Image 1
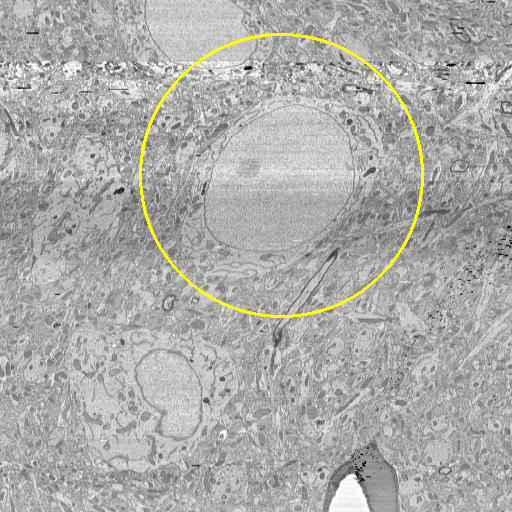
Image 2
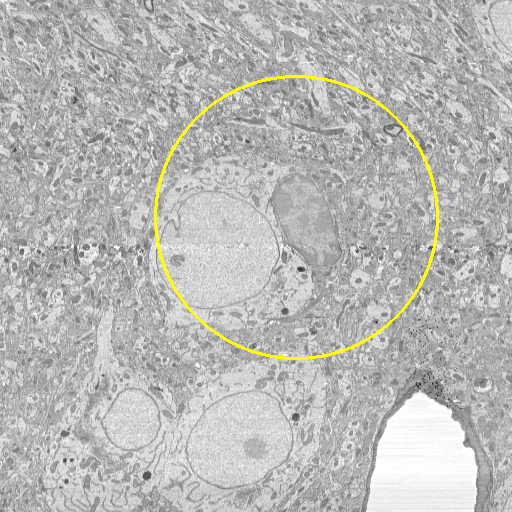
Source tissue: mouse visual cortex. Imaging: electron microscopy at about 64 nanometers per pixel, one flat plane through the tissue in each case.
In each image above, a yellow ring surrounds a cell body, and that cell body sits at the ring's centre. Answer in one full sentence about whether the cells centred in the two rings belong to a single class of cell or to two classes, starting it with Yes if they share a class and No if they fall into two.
No, the cells centred in the two yellow rings belong to two classes of cell.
